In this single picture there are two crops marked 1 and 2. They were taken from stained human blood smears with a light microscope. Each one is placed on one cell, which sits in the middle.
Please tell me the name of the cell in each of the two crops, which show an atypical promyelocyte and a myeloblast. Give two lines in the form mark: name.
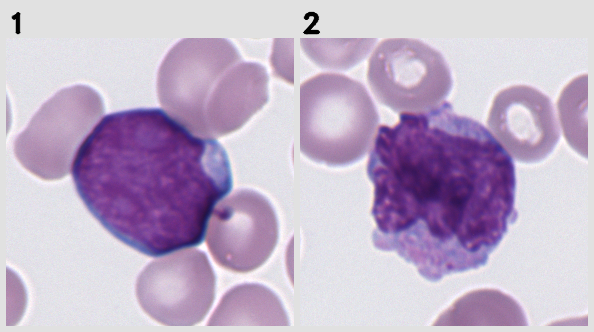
1: myeloblast
2: atypical promyelocyte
